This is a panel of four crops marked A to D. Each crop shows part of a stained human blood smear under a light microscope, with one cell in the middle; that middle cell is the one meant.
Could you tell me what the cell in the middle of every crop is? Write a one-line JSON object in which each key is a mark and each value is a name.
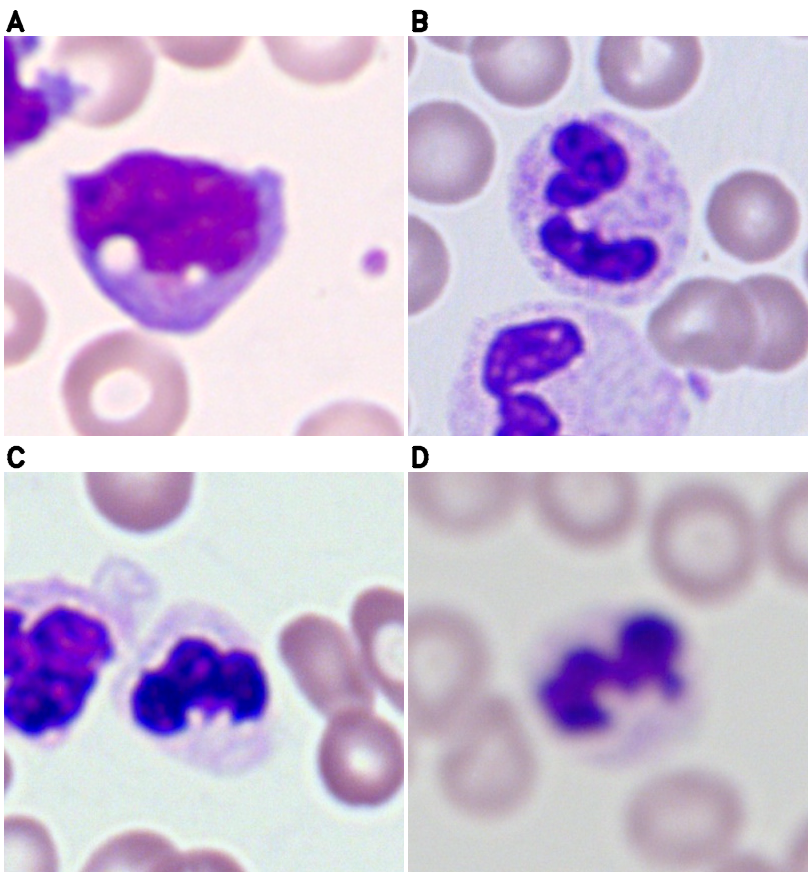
{"A": "monocyte", "B": "segmented neutrophil", "C": "segmented neutrophil", "D": "segmented neutrophil"}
